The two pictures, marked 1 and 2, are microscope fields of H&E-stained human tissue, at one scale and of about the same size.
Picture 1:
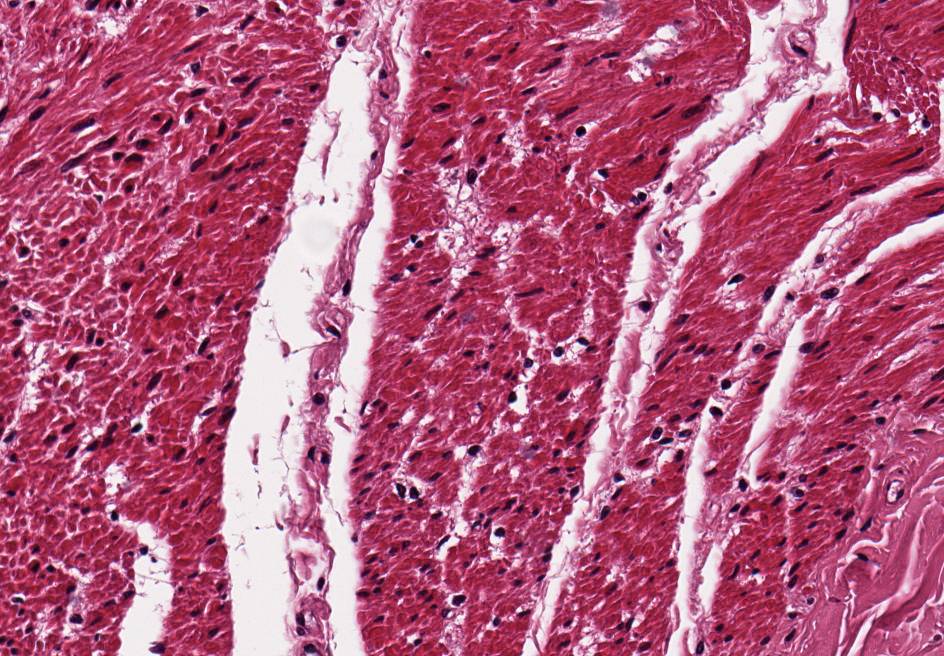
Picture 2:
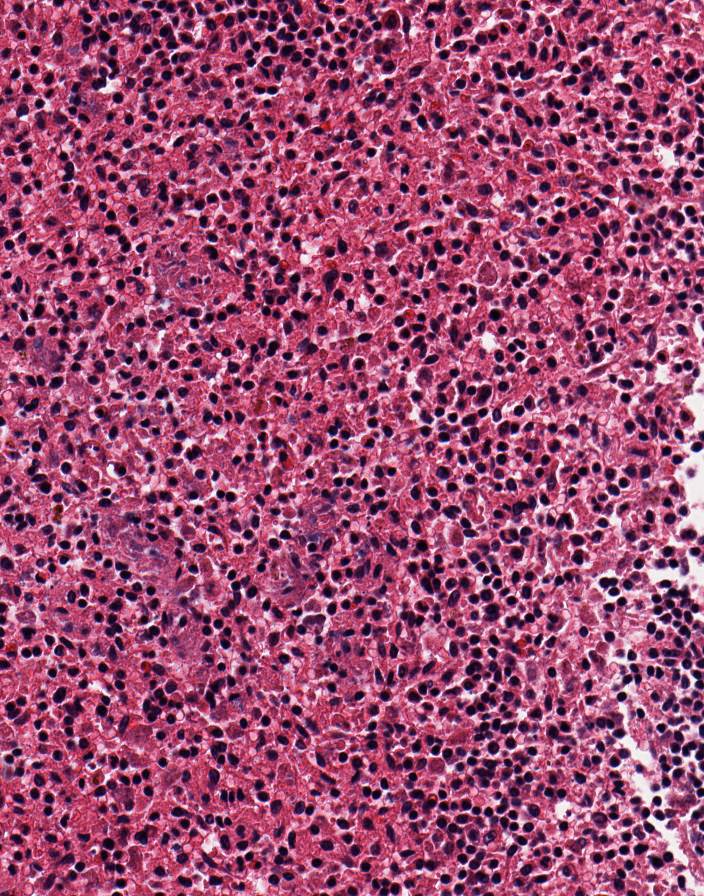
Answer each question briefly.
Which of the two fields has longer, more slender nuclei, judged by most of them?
1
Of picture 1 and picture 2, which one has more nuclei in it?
2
